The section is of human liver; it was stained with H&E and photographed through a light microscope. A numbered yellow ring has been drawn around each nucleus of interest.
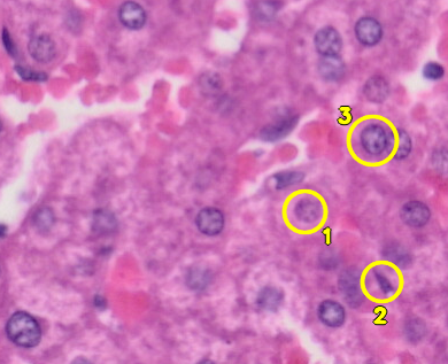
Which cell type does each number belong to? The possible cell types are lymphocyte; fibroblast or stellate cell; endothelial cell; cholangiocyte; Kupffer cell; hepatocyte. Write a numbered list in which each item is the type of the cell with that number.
1. hepatocyte
2. fibroblast or stellate cell
3. hepatocyte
